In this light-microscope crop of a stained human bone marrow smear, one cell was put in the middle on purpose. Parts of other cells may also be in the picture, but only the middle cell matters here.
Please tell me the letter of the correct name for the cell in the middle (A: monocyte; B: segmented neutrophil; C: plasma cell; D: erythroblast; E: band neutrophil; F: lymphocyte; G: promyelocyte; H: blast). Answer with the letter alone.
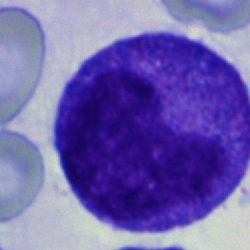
G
